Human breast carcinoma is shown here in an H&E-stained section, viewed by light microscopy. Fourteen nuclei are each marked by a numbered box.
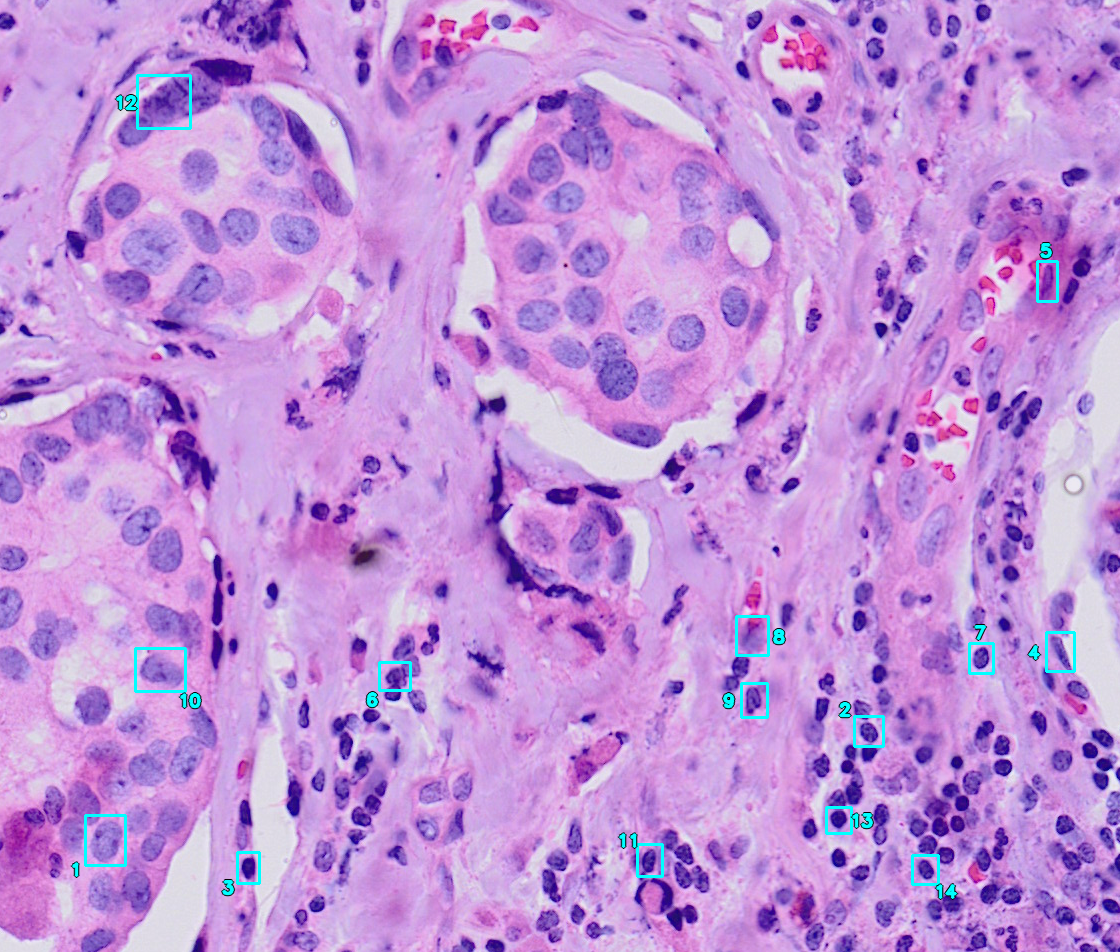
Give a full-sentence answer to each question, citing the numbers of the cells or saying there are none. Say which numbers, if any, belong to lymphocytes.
To be specific, the cells numbered 2, 3, 6, 7, 9, 11, 13 and 14 are lymphocytes.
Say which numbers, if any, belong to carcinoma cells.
The cells marked with the numbers 1, 10 and 12 are carcinoma cells.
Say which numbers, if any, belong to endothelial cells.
Marked by the numbers 5 and 8 are cells that are endothelial cells.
